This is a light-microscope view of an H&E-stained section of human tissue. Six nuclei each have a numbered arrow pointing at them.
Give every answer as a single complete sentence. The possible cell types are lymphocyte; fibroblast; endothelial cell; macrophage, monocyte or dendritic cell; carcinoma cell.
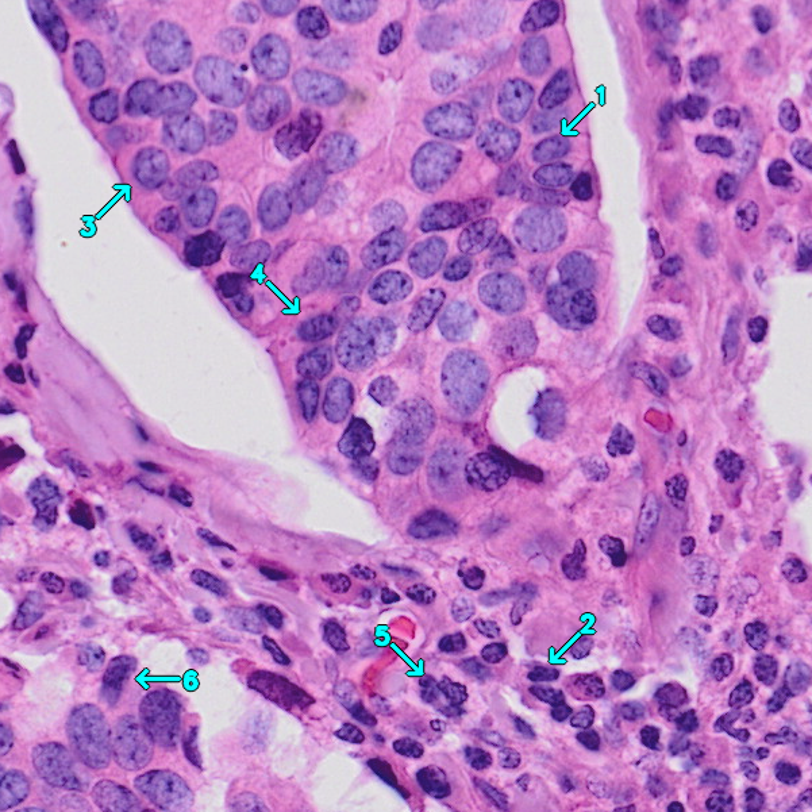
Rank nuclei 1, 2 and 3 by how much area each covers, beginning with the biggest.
The nuclei rank 3, 1, 2, from largest to smallest.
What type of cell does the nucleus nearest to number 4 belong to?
The cell nearest to number 4 is a carcinoma cell.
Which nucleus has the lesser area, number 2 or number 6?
The smaller nucleus is 2, and 6 covers roughly 2.5 times its area.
